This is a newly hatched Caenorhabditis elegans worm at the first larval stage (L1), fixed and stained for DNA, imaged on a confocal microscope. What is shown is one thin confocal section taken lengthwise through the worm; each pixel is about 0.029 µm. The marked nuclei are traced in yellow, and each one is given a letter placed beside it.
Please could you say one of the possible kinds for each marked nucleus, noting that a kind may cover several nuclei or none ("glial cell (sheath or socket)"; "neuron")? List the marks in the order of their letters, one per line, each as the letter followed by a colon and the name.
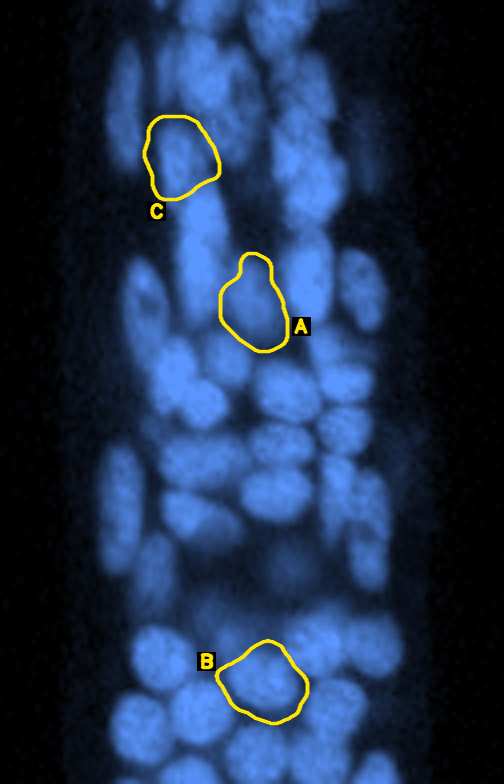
A: neuron
B: neuron
C: glial cell (sheath or socket)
